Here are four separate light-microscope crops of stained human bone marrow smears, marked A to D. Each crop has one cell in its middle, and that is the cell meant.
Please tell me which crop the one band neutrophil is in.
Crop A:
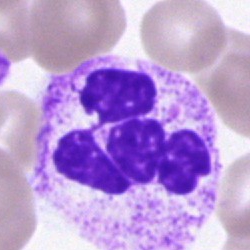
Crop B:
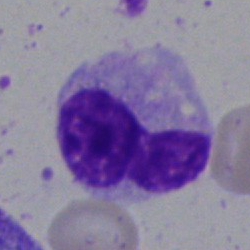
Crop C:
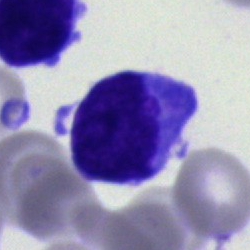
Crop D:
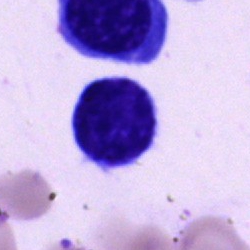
B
